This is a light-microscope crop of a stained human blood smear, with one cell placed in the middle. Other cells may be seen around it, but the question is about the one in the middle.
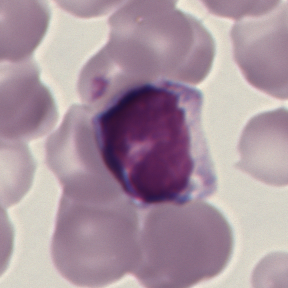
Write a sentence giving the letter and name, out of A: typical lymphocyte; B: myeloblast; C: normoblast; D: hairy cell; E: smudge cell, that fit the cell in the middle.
Located in the middle of the crop is a typical lymphocyte, and option A is therefore correct.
